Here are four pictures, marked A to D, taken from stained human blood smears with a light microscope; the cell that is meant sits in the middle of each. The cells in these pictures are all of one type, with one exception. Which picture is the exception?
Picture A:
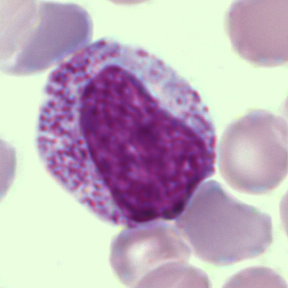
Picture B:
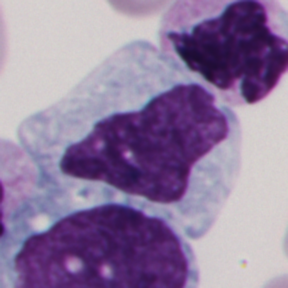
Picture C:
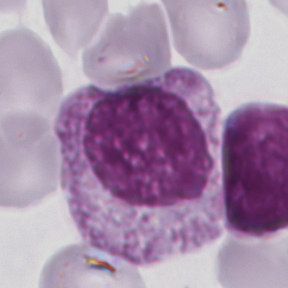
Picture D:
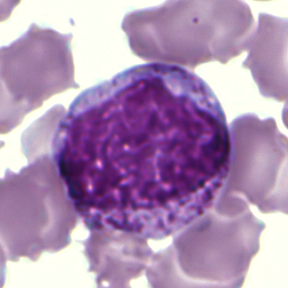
B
